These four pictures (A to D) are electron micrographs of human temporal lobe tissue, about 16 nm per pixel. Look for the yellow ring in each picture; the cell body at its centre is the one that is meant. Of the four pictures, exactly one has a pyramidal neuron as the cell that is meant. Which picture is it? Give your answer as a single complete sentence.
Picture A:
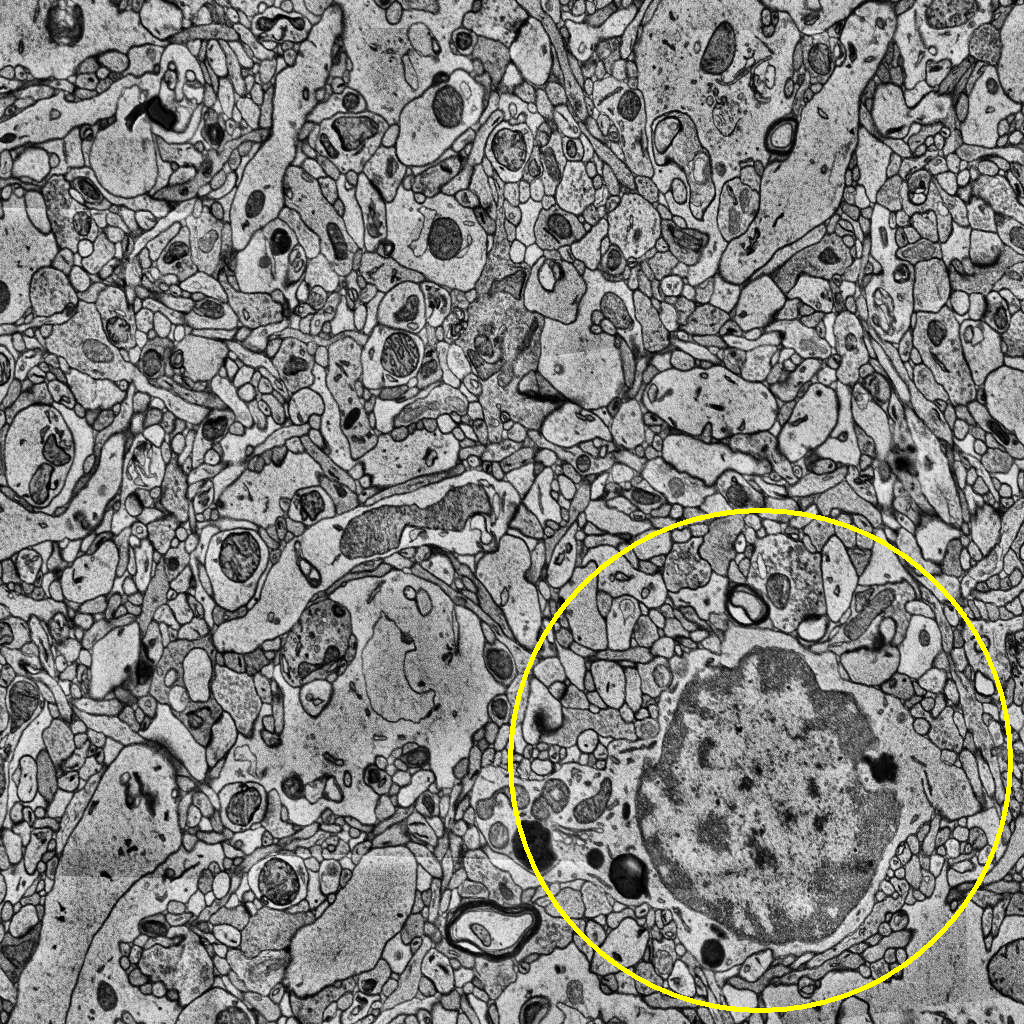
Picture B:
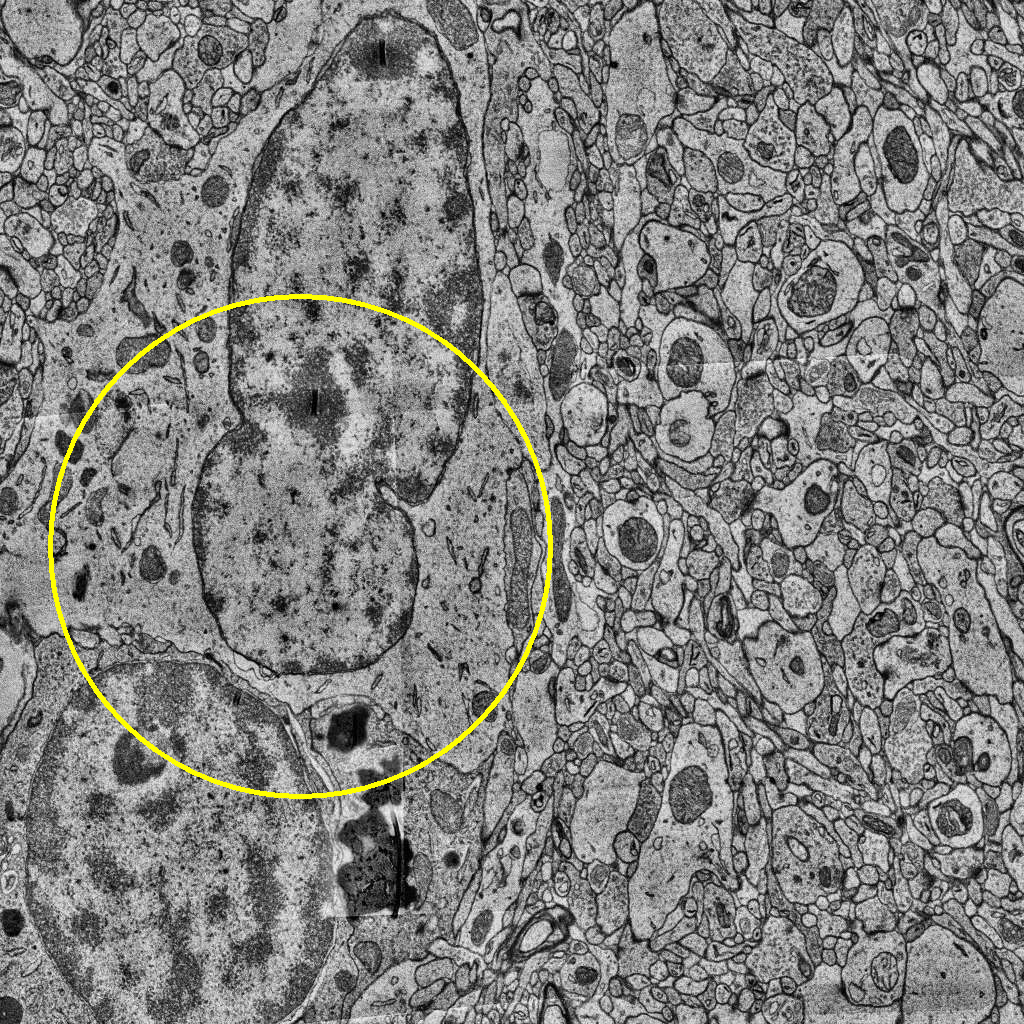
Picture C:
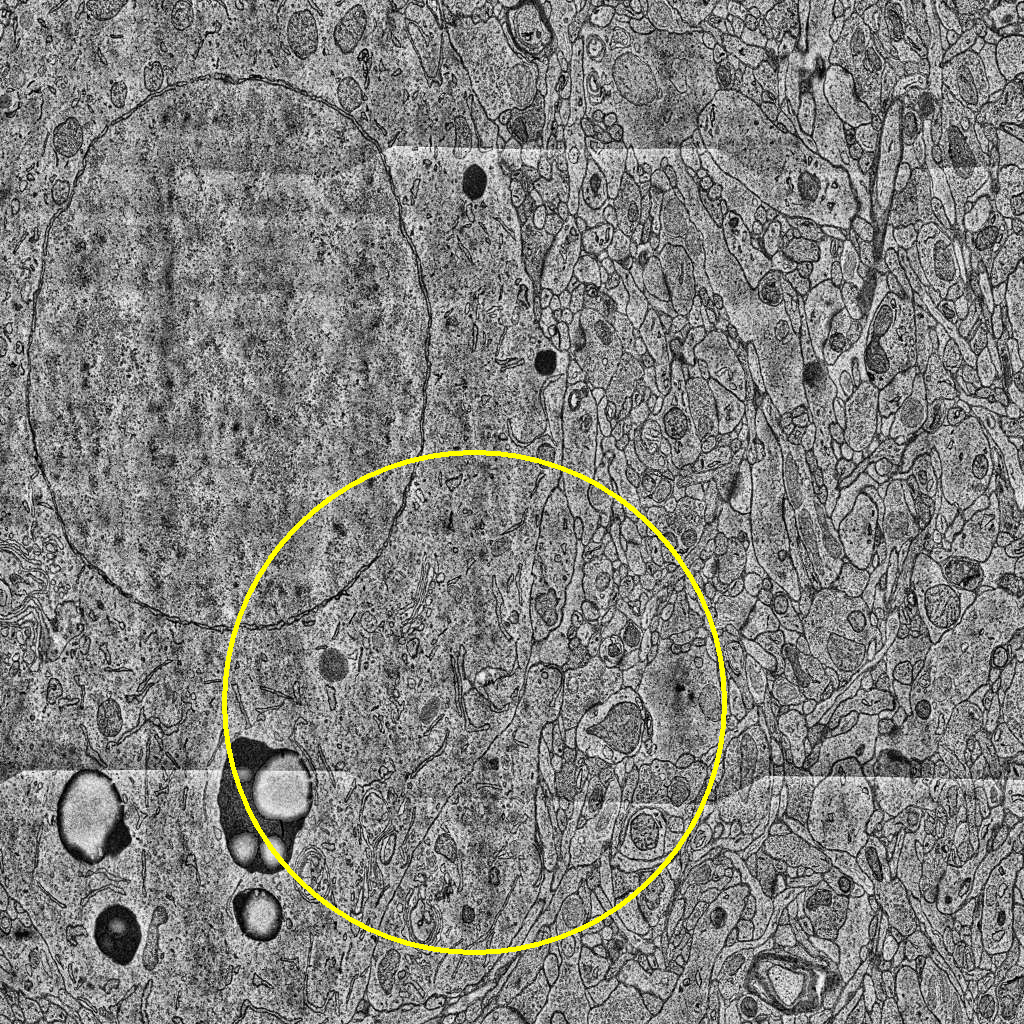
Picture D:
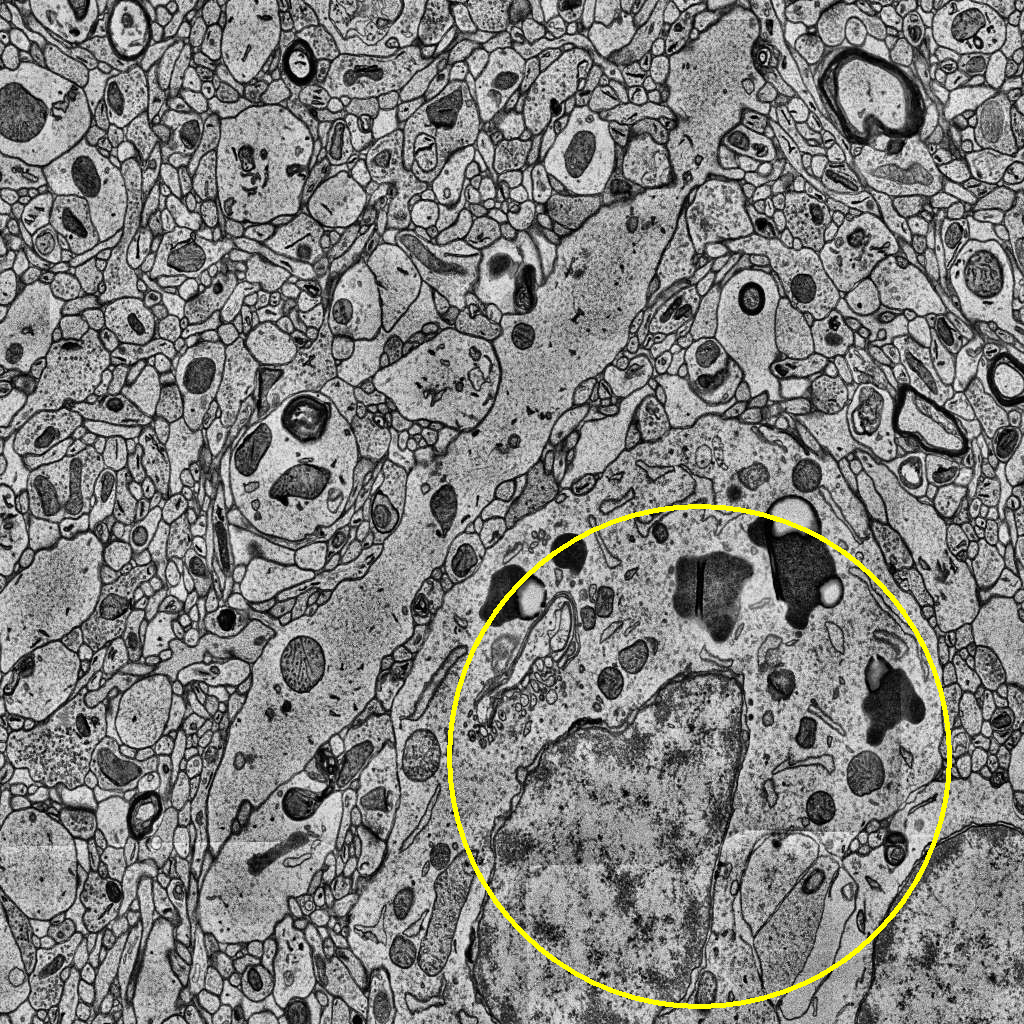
It is picture C that shows the pyramidal neuron.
